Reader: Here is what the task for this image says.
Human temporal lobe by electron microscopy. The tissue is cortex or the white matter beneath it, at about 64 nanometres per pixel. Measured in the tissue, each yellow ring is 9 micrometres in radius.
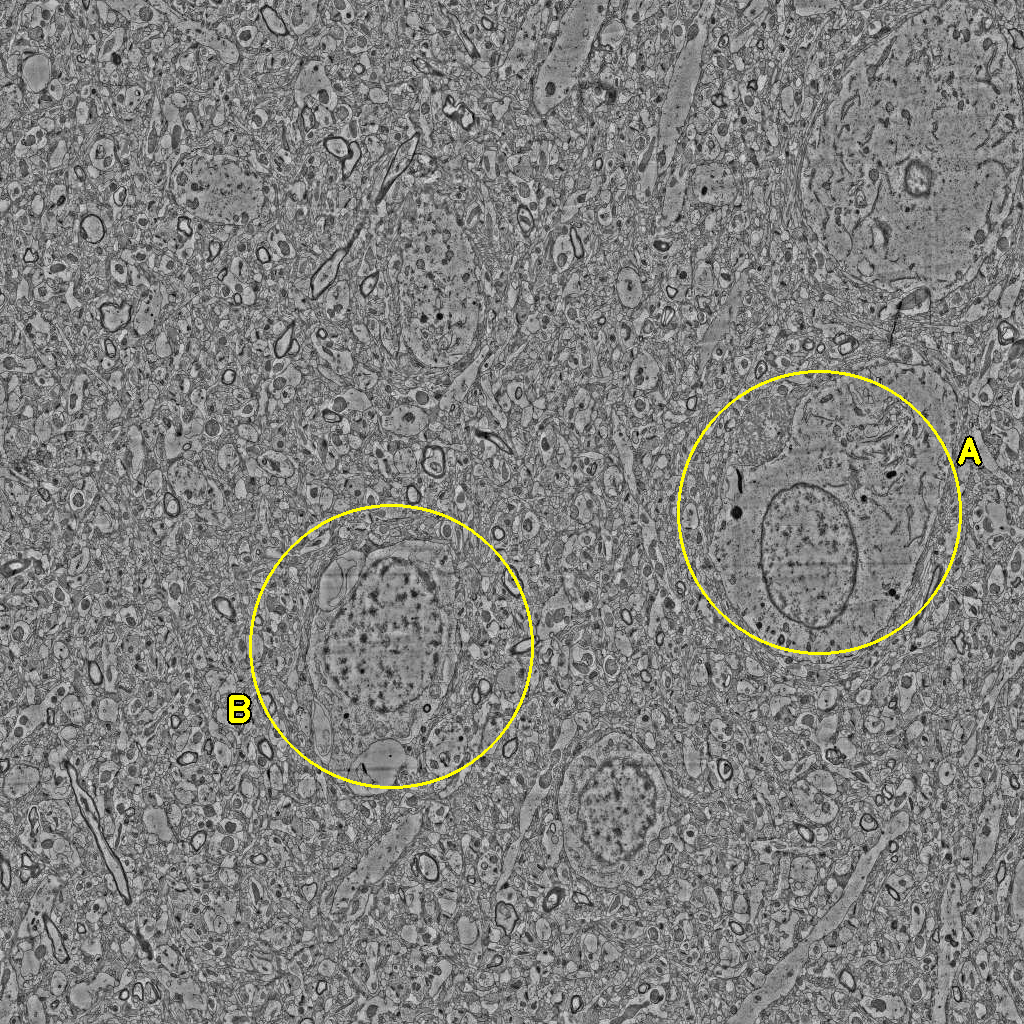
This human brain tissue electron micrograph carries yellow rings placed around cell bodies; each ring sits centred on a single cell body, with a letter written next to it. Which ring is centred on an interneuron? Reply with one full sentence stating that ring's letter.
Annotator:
Letter B marks the ring whose centre holds the cell asked for.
